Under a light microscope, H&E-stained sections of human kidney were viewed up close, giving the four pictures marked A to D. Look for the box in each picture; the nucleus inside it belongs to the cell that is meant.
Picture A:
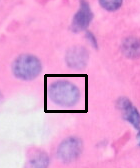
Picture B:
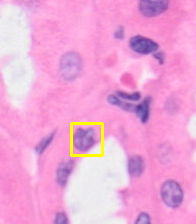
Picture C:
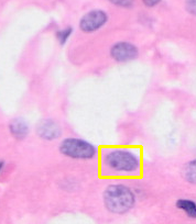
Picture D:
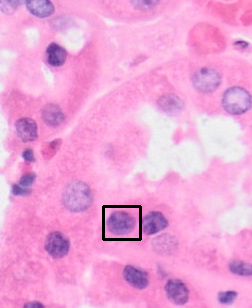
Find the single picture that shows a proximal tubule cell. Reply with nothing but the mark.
D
